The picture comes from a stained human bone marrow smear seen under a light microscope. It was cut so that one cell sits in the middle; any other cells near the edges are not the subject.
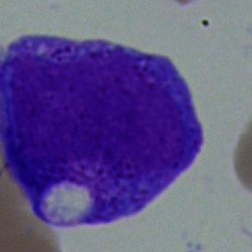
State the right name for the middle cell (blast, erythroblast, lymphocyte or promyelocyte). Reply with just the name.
blast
